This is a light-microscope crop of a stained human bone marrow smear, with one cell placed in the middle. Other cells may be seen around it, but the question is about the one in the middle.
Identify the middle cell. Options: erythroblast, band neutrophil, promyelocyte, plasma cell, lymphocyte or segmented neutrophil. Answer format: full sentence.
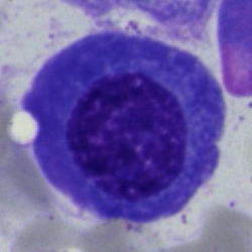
The cell featured at the centre of this crop is a plasma cell.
